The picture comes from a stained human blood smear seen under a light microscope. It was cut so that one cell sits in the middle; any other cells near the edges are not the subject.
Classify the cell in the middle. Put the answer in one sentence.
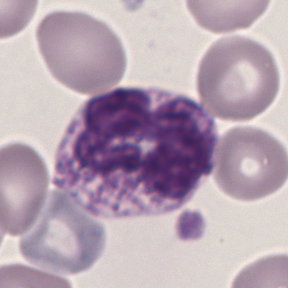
The central cell, amid any neighbouring cells, is a basophil.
